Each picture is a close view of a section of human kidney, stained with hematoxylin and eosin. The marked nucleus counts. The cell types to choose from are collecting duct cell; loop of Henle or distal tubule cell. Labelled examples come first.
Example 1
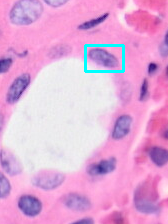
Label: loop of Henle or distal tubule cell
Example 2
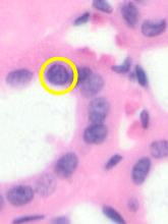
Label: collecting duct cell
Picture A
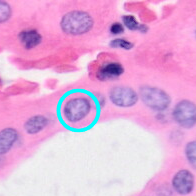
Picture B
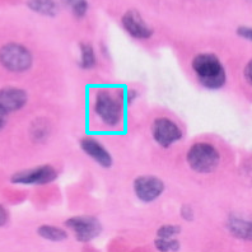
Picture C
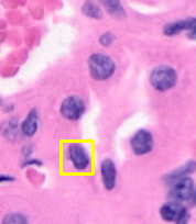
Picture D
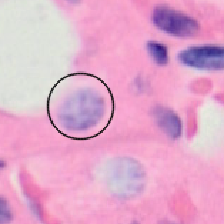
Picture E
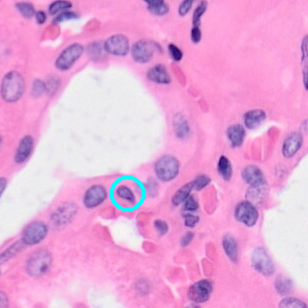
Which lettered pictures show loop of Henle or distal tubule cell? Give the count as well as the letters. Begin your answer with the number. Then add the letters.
3: B, C, D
